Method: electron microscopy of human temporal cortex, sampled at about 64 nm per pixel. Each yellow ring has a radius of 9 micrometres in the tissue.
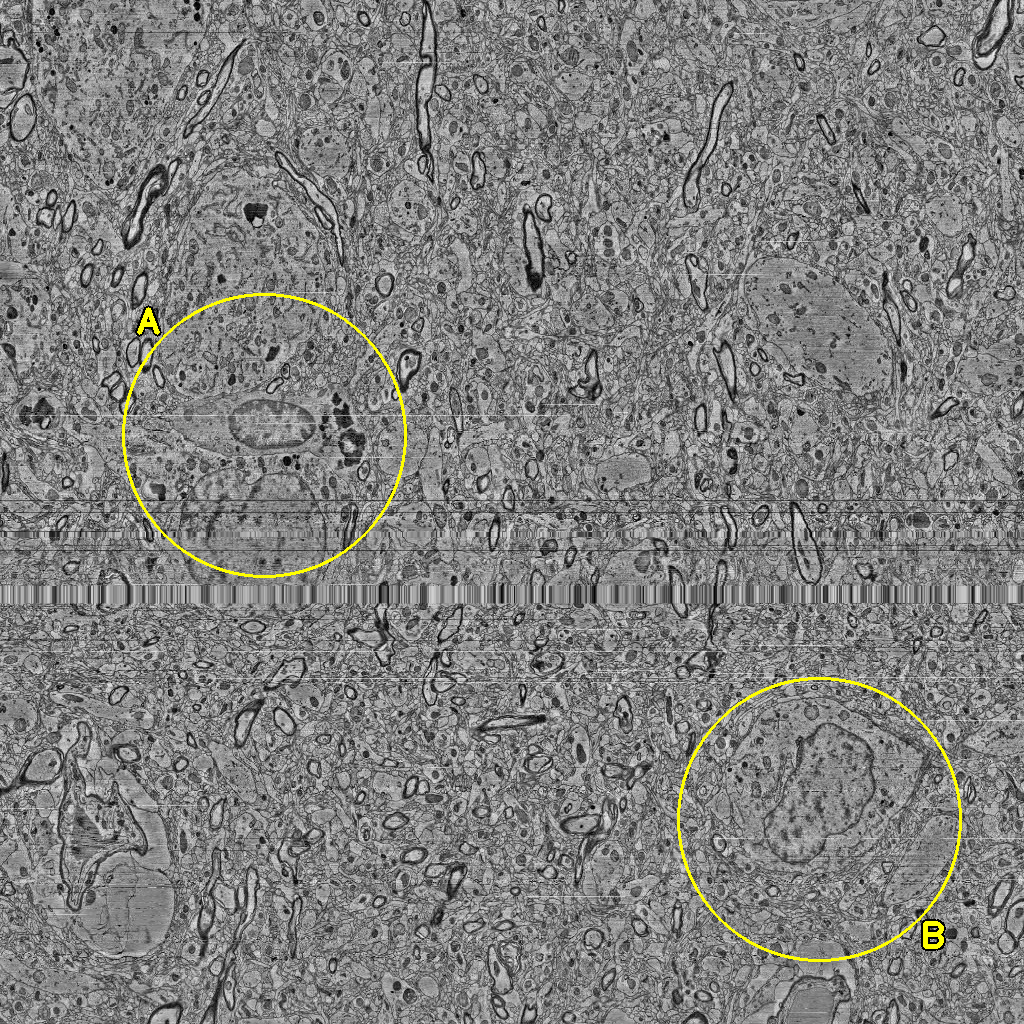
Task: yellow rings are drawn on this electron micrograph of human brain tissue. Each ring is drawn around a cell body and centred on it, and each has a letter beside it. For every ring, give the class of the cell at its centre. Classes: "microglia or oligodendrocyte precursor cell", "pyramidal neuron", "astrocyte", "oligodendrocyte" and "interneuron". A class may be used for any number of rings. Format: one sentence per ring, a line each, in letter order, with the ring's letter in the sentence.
The cell ringed as A is an oligodendrocyte.
The cell ringed as B is a pyramidal neuron.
